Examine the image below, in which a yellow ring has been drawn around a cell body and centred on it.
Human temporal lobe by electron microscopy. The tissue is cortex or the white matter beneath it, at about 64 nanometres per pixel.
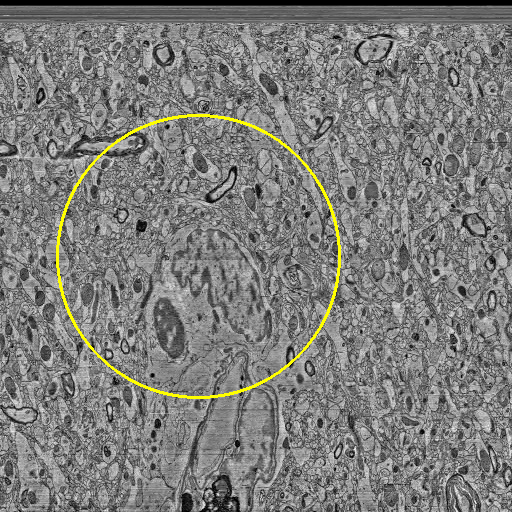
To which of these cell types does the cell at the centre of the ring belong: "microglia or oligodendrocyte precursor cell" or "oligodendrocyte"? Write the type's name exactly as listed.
microglia or oligodendrocyte precursor cell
